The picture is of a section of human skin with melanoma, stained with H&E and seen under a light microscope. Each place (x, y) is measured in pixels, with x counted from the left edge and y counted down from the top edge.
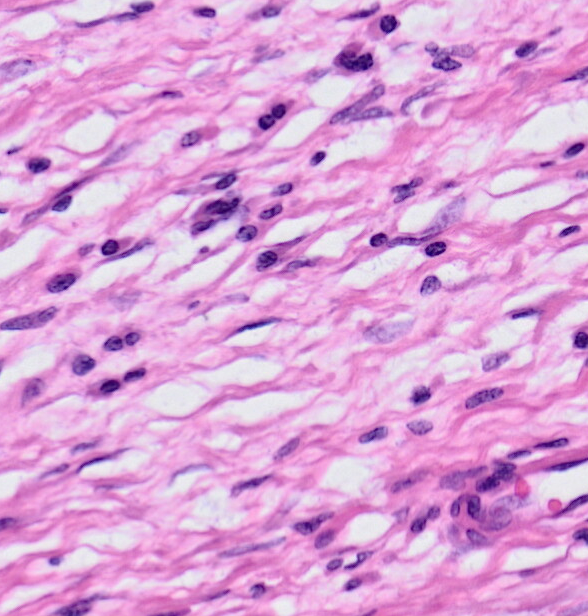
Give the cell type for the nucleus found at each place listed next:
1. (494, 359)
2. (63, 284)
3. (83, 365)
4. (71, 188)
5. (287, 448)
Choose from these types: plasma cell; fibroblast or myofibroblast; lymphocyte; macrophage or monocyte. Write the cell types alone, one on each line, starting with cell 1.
fibroblast or myofibroblast
plasma cell
lymphocyte
fibroblast or myofibroblast
macrophage or monocyte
